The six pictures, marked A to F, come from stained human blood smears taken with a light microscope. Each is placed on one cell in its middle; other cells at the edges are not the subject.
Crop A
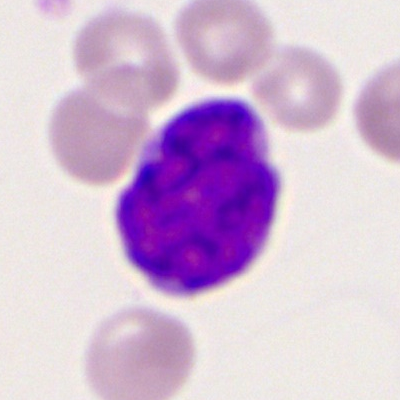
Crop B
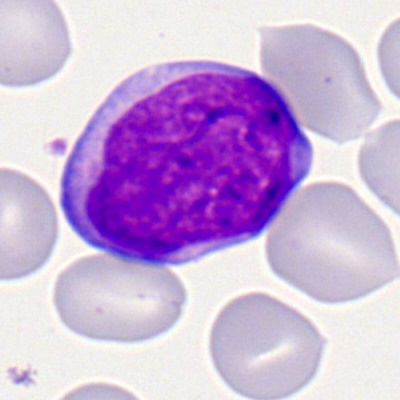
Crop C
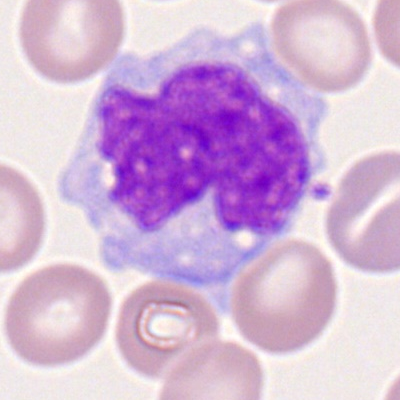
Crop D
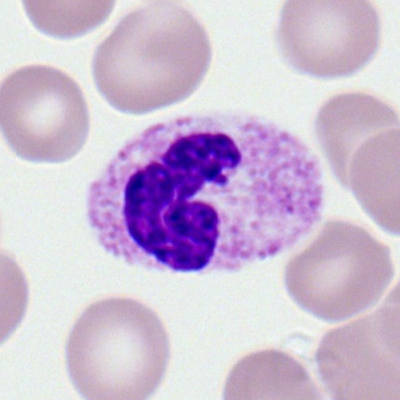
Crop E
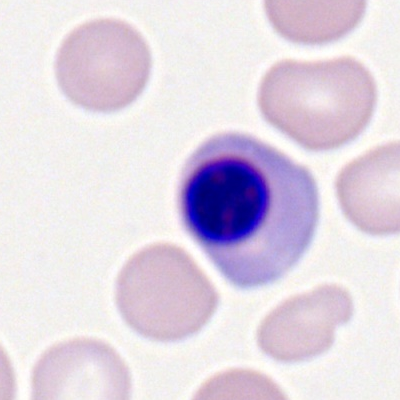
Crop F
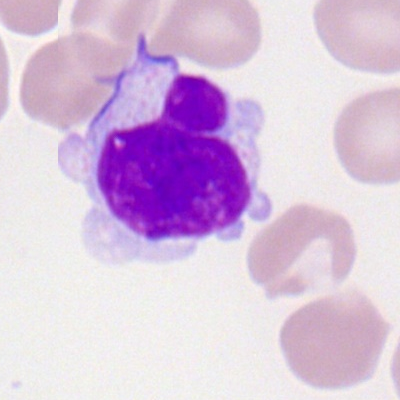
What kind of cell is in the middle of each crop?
A: myeloblast
B: myeloblast
C: monocyte
D: band neutrophil
E: erythroblast
F: lymphocyte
